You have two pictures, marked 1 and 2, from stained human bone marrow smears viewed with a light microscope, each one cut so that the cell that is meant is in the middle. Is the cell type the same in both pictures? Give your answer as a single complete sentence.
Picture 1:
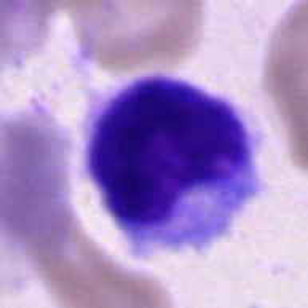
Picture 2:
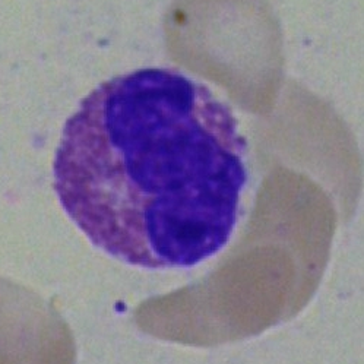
No, picture 1 shows a lymphocyte and picture 2 shows an eosinophil.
